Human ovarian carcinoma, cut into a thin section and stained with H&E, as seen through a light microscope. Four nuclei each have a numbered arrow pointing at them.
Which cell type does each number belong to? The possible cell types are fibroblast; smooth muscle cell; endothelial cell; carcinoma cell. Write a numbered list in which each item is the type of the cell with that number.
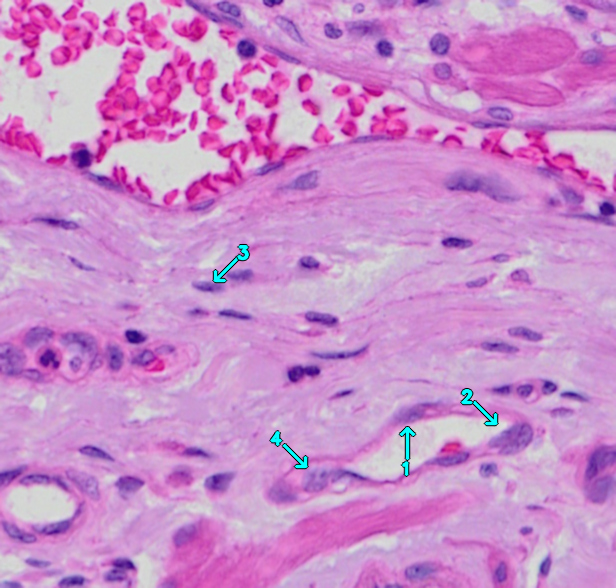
1. endothelial cell
2. endothelial cell
3. fibroblast
4. endothelial cell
